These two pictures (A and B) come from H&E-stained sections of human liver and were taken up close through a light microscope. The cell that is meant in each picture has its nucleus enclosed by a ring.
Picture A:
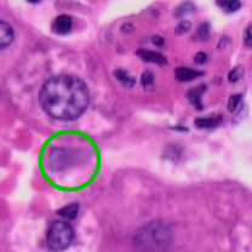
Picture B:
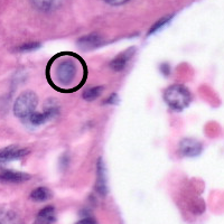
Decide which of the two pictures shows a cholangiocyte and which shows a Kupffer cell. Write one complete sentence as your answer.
Picture A shows a Kupffer cell and picture B shows a cholangiocyte.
